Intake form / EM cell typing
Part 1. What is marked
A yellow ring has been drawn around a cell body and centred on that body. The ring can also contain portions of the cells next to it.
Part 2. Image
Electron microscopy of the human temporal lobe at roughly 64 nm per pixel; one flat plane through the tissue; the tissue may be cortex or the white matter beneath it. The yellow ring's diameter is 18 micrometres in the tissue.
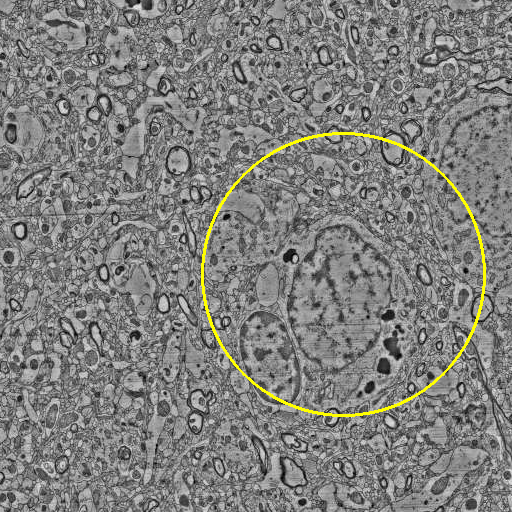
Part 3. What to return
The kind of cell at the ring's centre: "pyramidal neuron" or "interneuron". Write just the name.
interneuron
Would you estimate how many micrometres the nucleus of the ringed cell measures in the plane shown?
In this plane, approximately 9 by 7 micrometers.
